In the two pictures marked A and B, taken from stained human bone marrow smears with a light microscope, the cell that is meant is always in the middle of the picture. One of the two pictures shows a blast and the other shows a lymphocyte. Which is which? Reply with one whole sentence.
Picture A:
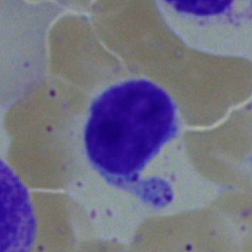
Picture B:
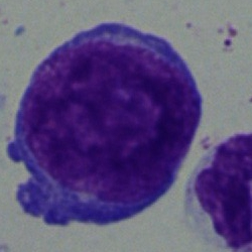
Picture B shows a blast, while picture A shows a lymphocyte.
